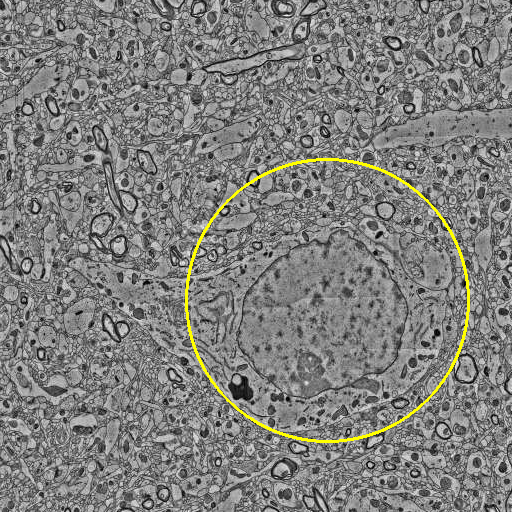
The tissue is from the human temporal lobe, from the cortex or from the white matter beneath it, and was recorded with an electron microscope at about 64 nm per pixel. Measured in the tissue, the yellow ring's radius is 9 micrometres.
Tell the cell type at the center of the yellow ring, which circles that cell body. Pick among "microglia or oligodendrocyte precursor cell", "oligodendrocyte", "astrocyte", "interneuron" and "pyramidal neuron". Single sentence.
The ring is centered on the body of an interneuron.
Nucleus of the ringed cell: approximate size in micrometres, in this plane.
The nucleus of the ringed cell is approximately 11 micrometres across in this plane.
